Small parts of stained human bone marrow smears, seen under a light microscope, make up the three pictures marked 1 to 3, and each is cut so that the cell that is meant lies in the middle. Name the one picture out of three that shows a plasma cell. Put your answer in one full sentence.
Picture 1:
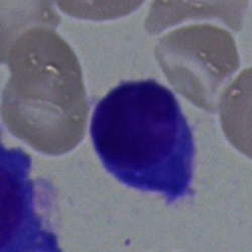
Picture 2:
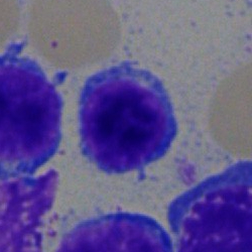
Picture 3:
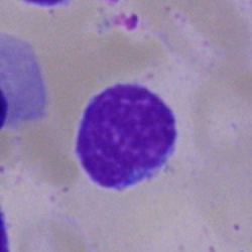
Picture 1 shows the plasma cell.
